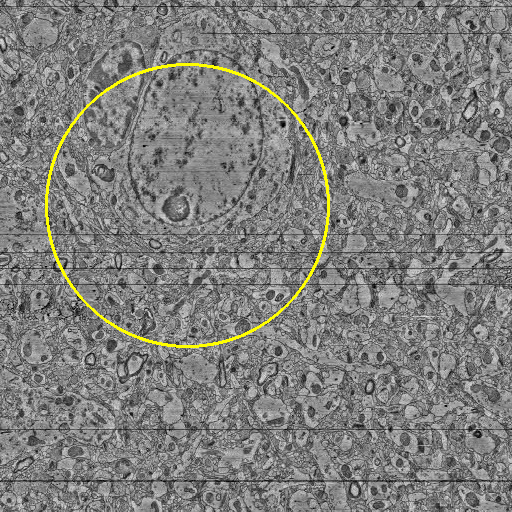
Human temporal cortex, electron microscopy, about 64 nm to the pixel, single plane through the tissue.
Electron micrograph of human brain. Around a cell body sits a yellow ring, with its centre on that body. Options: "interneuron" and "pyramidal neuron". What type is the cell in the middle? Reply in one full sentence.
The cell sitting at the centre of the yellow ring is a pyramidal neuron.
